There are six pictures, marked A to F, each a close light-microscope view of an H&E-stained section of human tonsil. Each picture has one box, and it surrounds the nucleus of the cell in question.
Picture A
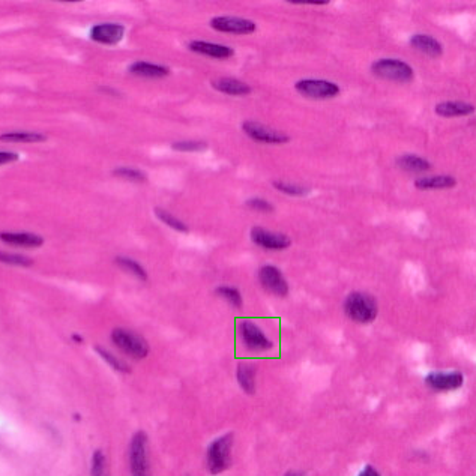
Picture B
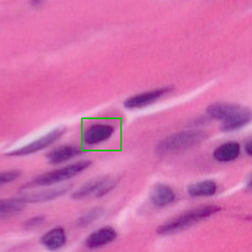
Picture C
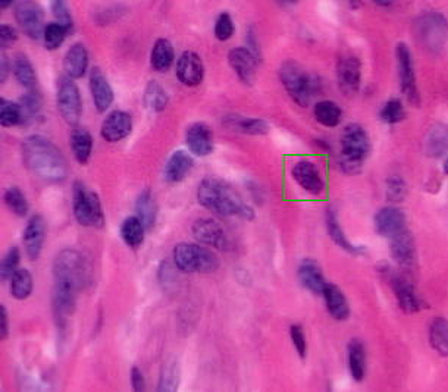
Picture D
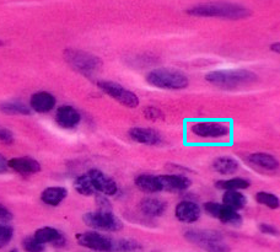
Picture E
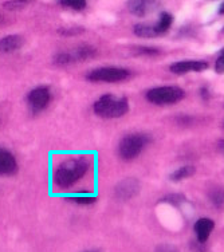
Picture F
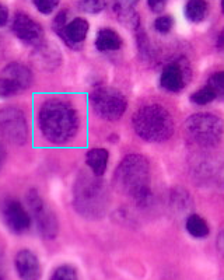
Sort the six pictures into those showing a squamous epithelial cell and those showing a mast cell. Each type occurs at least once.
A: squamous epithelial cell
B: mast cell
C: mast cell
D: mast cell
E: squamous epithelial cell
F: squamous epithelial cell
